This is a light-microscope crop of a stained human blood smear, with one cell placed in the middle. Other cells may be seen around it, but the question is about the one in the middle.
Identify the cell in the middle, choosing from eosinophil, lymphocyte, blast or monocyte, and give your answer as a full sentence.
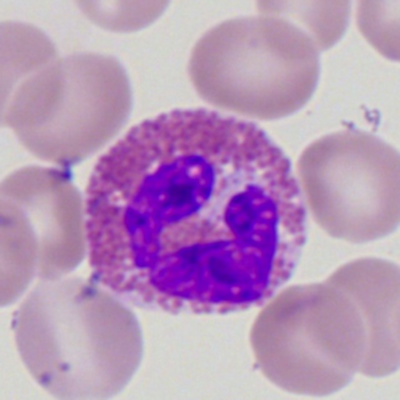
The central element of this crop is a cell, namely an eosinophil.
